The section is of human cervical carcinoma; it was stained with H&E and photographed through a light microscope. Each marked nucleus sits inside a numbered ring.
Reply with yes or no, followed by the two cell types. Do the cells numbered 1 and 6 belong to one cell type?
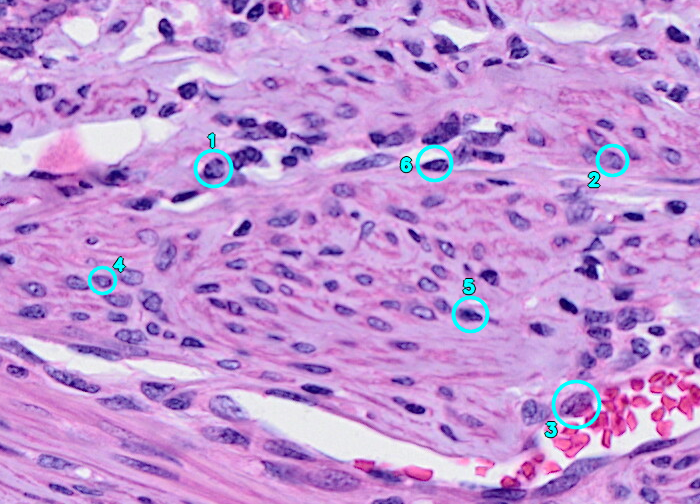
Yes, in short, cells 1 and 6 are both lymphocytes.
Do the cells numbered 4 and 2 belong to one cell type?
Yes, cells 4 and 2 are both to be classed as smooth muscle cells.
